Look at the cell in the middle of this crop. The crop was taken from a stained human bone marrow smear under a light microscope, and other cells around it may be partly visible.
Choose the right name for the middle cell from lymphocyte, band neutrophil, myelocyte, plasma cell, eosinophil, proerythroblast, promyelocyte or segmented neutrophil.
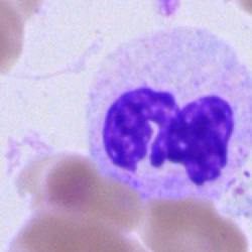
segmented neutrophil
